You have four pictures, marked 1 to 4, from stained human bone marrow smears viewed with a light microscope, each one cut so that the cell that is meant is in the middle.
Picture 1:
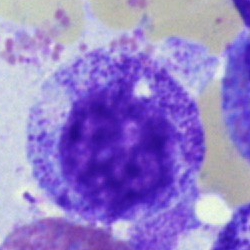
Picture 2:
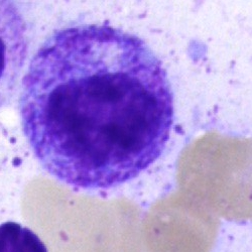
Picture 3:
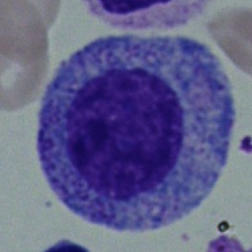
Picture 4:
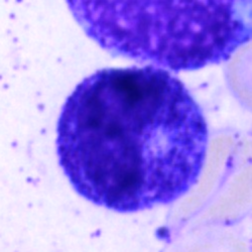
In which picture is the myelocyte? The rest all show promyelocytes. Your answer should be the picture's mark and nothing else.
2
